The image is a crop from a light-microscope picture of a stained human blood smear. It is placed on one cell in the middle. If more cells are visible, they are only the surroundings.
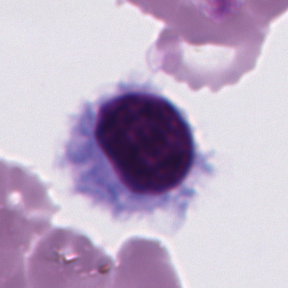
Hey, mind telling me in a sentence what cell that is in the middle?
Occupying the centre of the crop is a hairy cell.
